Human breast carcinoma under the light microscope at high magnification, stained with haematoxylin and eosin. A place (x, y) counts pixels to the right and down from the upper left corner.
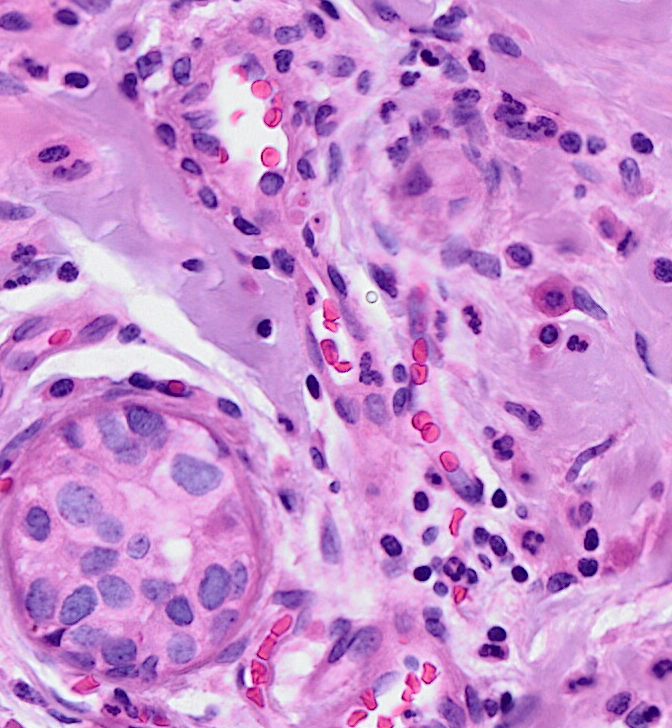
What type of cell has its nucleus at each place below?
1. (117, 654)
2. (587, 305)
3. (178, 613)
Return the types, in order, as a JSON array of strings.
["carcinoma cell", "fibroblast", "carcinoma cell"]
